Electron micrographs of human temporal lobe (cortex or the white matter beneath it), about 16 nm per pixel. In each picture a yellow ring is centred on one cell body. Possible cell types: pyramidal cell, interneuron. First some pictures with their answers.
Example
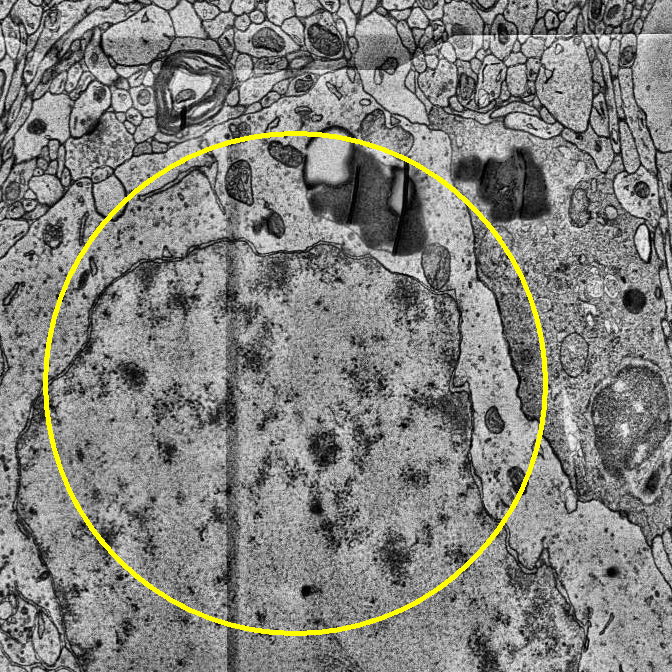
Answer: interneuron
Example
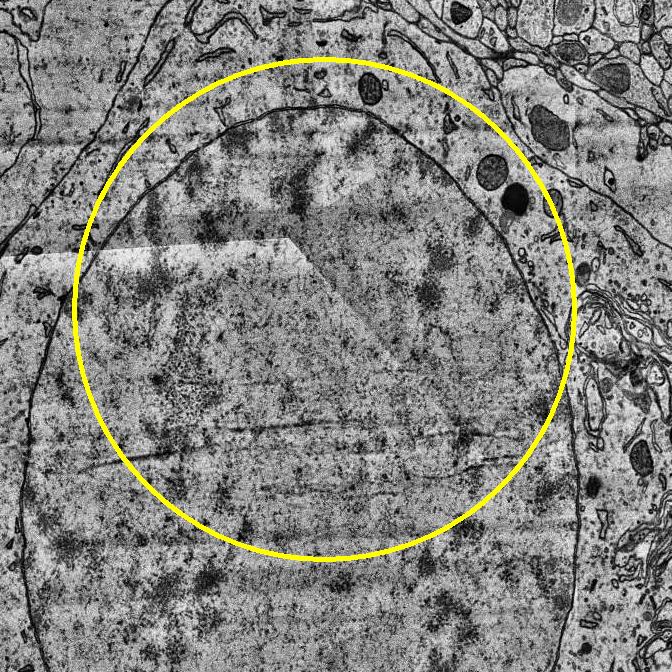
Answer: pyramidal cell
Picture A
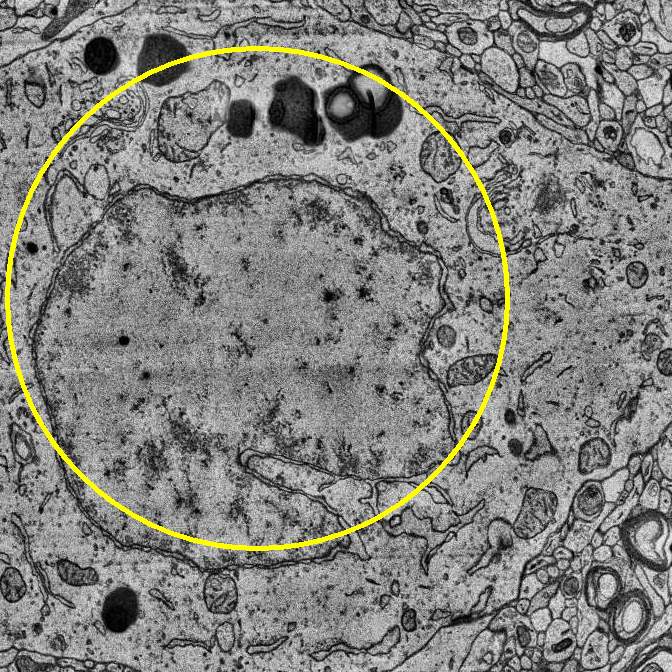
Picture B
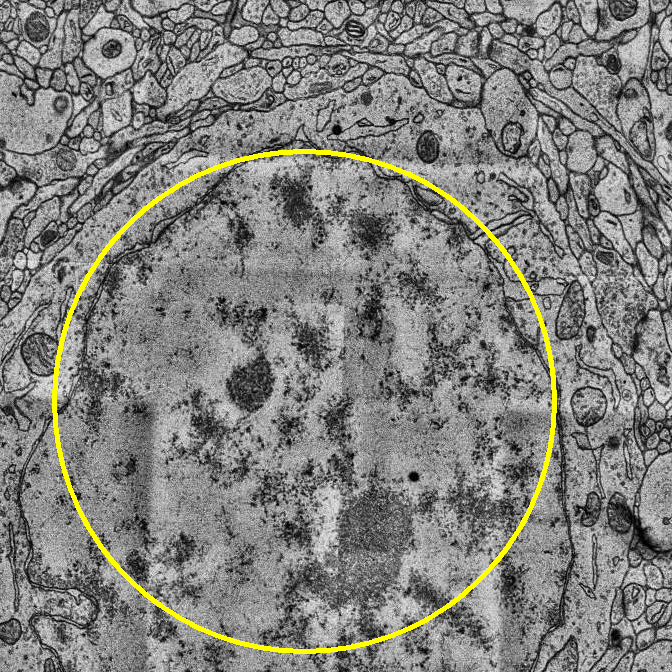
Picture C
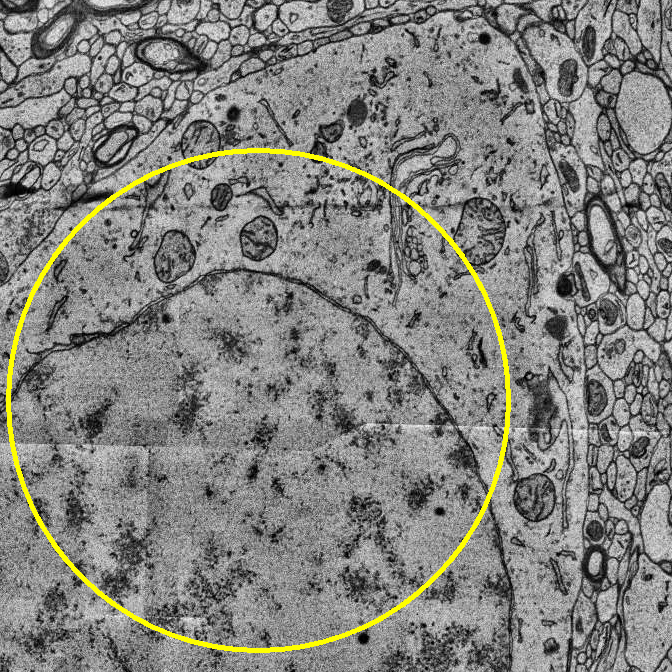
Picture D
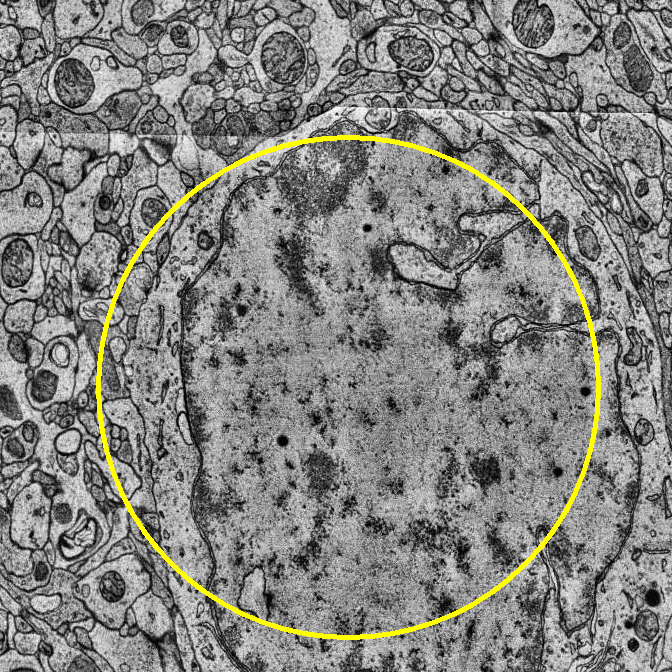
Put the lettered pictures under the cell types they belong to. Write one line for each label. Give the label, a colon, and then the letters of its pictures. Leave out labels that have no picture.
pyramidal cell: A, C
interneuron: B, D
